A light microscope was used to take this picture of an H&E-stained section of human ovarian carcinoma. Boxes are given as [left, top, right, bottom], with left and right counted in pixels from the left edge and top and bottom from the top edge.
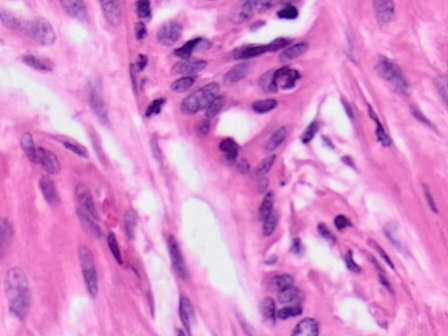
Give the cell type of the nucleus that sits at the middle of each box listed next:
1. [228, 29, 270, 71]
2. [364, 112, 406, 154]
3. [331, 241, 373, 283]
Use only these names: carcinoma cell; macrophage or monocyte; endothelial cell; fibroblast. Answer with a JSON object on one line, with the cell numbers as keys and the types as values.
{"1": "carcinoma cell", "2": "fibroblast", "3": "fibroblast"}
